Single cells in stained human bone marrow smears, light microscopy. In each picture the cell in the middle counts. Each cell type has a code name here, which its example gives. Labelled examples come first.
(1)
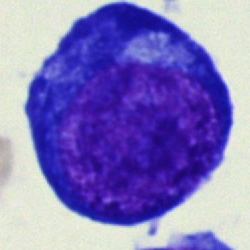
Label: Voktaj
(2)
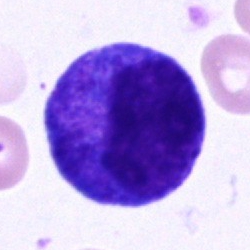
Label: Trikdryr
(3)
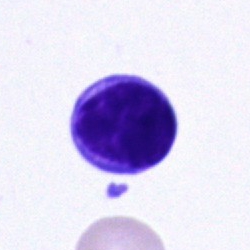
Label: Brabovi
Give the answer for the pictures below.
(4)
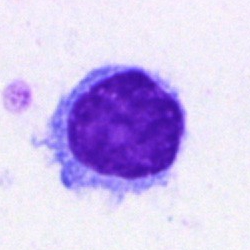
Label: Brabovi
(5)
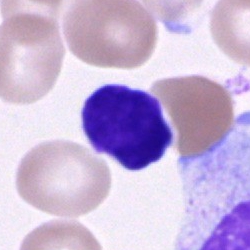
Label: Brabovi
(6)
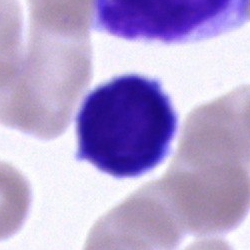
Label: Brabovi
